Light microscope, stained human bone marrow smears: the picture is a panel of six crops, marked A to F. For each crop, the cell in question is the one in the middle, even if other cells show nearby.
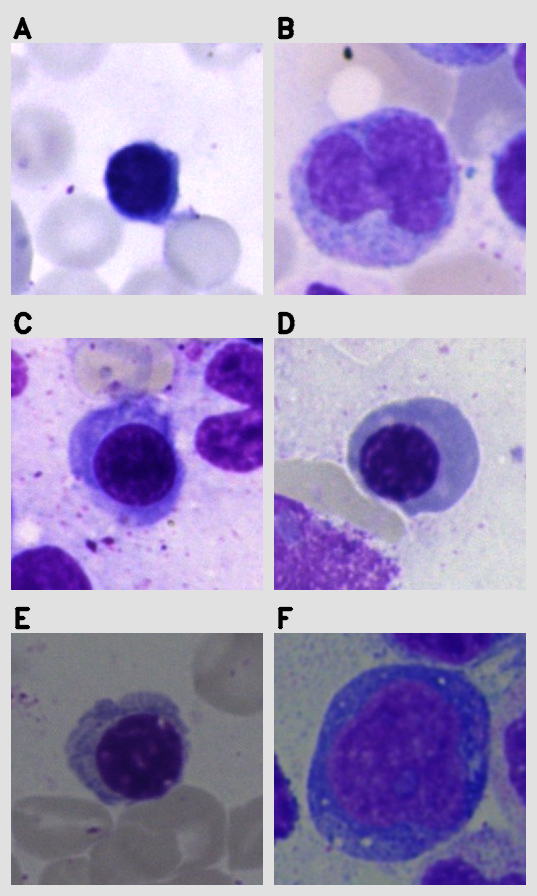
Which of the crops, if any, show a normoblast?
C, D, E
